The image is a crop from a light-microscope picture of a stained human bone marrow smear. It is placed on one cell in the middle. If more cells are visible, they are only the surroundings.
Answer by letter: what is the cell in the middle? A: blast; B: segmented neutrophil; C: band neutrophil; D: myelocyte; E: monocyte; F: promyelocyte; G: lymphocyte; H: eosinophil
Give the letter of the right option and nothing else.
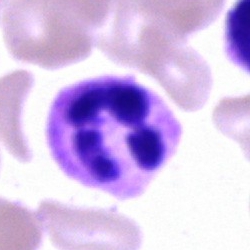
B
